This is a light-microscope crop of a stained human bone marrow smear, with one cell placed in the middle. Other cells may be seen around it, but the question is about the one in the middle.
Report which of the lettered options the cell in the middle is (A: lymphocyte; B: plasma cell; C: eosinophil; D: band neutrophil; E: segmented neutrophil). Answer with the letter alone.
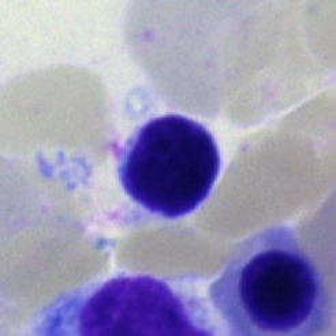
A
